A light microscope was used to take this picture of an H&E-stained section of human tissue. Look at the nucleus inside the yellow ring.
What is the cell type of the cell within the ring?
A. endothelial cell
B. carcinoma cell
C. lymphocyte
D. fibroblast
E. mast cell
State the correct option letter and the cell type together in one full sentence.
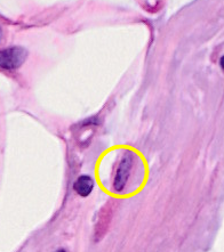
Here the cell within the ring is a mast cell, which makes option E correct.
